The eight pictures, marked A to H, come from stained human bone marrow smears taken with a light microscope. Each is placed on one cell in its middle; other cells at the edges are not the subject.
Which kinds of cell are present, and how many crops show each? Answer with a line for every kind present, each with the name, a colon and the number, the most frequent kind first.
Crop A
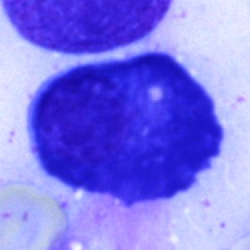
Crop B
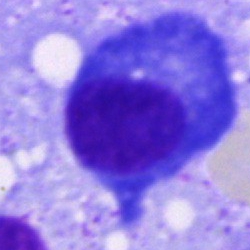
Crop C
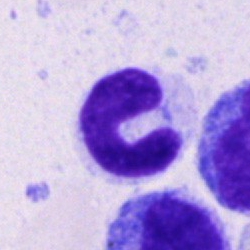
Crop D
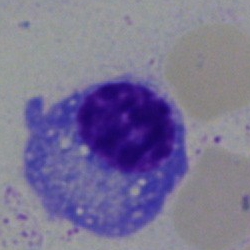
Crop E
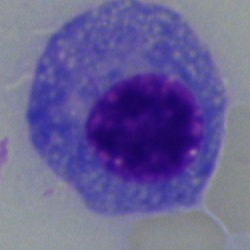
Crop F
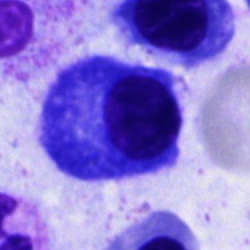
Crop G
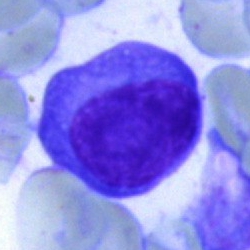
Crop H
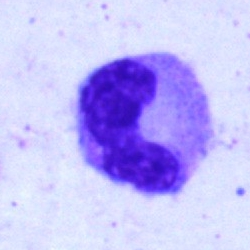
plasma cell: 6
band neutrophil: 2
